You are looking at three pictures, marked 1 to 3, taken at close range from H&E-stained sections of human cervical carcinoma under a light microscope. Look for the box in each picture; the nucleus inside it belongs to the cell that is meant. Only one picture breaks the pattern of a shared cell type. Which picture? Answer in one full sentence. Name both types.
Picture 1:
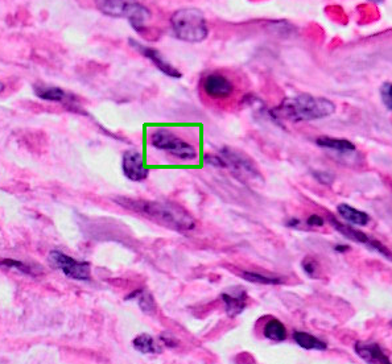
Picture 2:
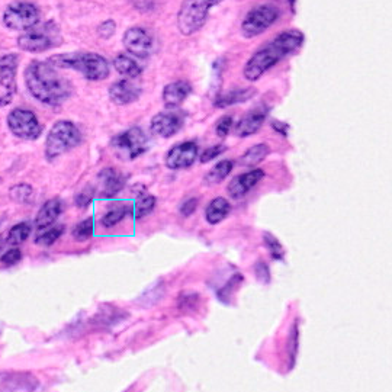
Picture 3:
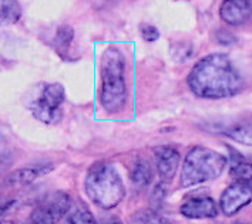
The different one is picture 2; it shows a squamous carcinoma cell, whereas all the others show “macrophages or monocytes”.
